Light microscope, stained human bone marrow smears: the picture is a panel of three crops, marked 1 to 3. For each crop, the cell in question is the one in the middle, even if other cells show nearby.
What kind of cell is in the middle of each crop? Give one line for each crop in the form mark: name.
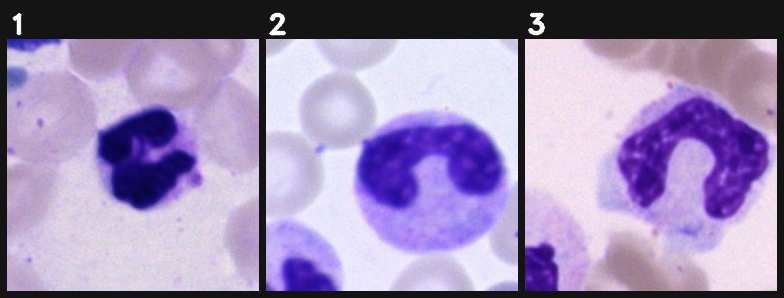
1: segmented neutrophil
2: band neutrophil
3: band neutrophil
